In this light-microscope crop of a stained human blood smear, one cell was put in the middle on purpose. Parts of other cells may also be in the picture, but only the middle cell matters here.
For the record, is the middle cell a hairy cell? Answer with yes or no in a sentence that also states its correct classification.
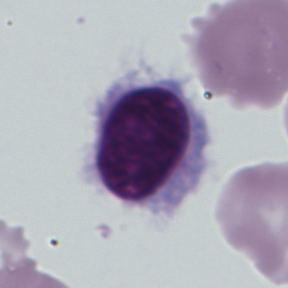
Yes, the identification of the central cell as a hairy cell is correct.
